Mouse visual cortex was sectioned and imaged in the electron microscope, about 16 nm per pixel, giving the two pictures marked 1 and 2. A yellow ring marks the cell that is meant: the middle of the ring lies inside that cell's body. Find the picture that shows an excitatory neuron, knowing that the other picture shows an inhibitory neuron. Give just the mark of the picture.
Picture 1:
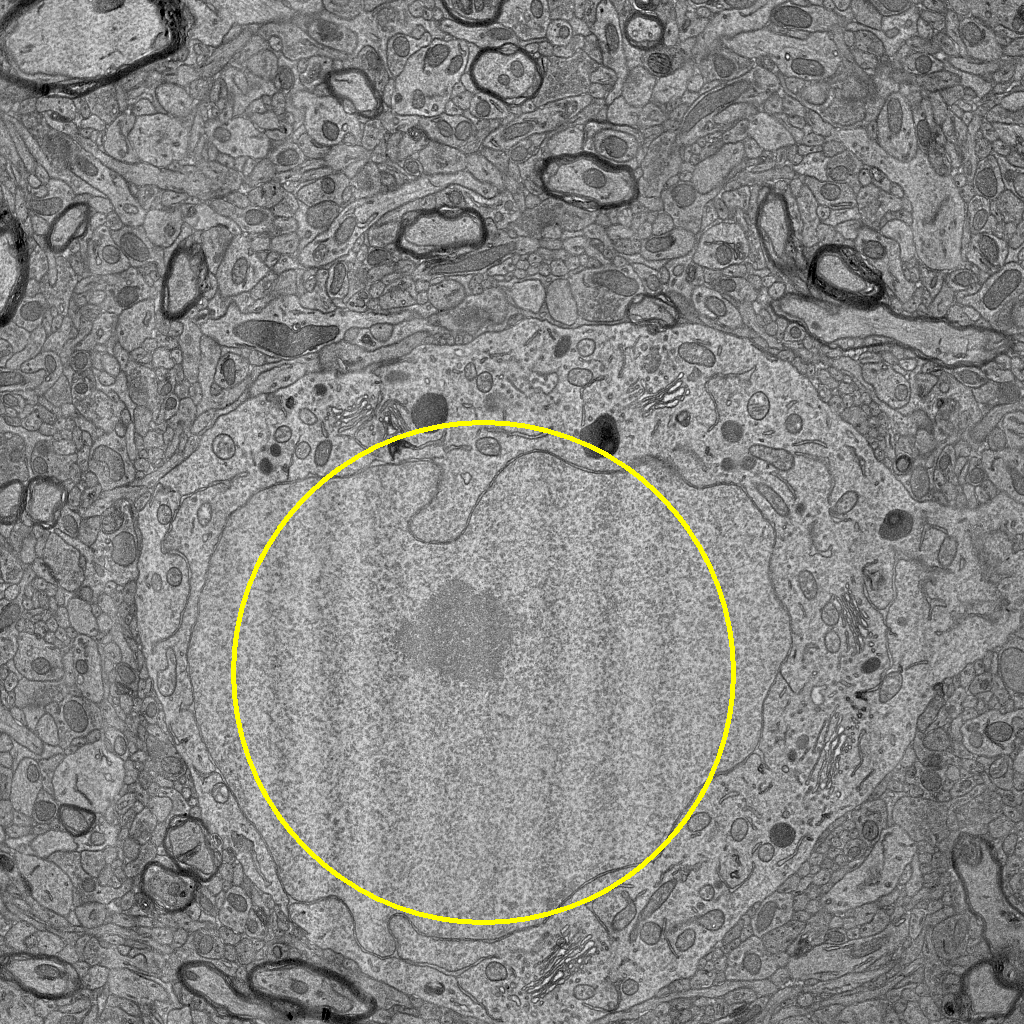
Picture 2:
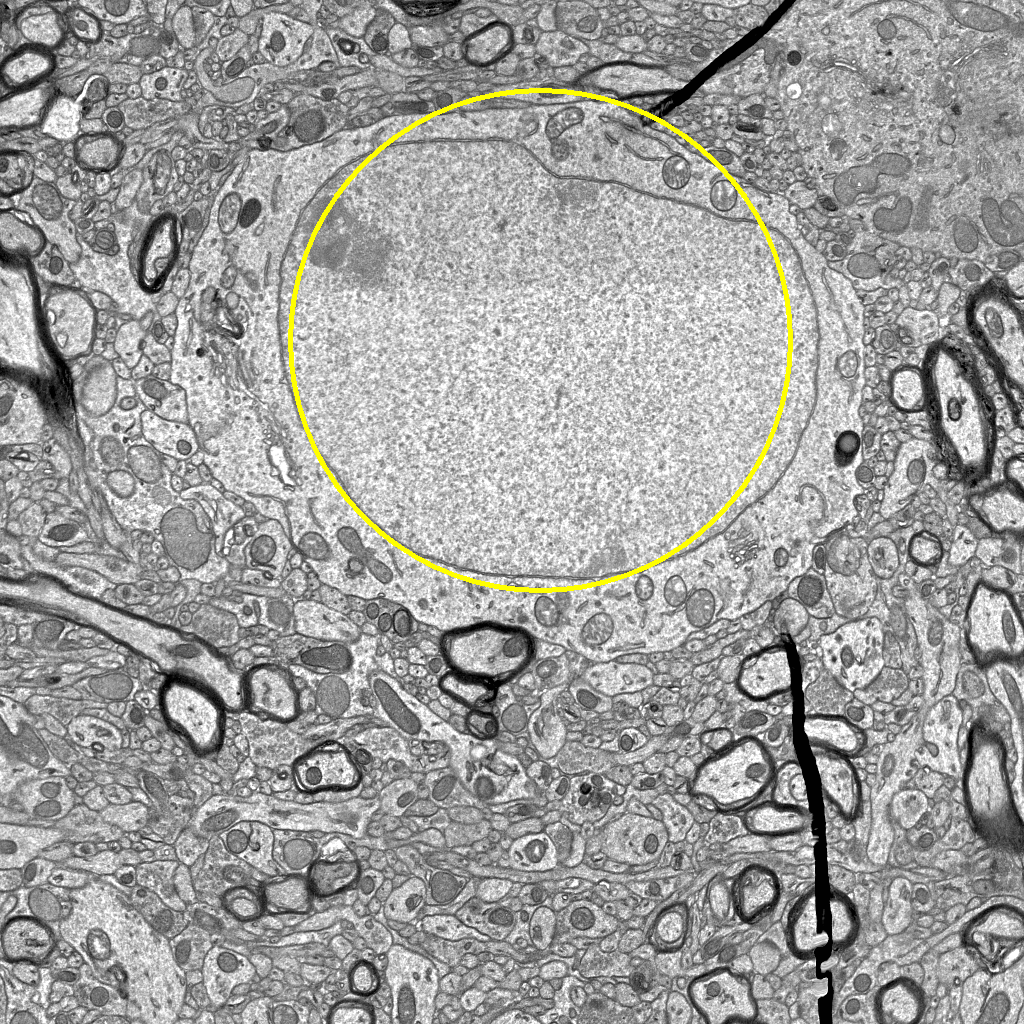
2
